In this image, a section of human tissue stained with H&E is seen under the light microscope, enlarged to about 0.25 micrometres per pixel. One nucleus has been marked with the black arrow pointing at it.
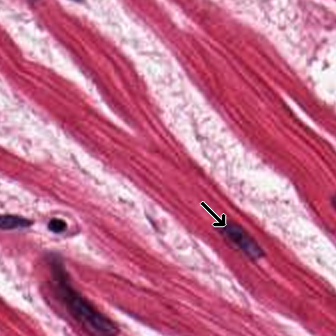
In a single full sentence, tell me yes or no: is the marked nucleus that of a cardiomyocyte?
Yes, the nucleus bearing the mark is that of a cardiomyocyte.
